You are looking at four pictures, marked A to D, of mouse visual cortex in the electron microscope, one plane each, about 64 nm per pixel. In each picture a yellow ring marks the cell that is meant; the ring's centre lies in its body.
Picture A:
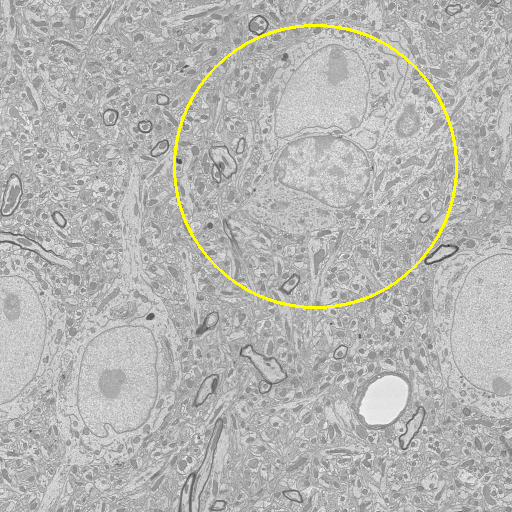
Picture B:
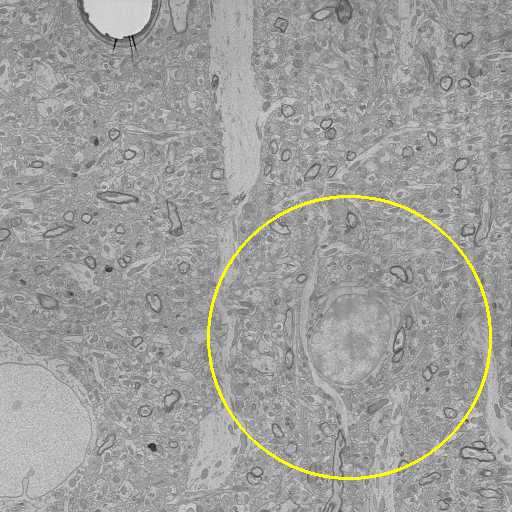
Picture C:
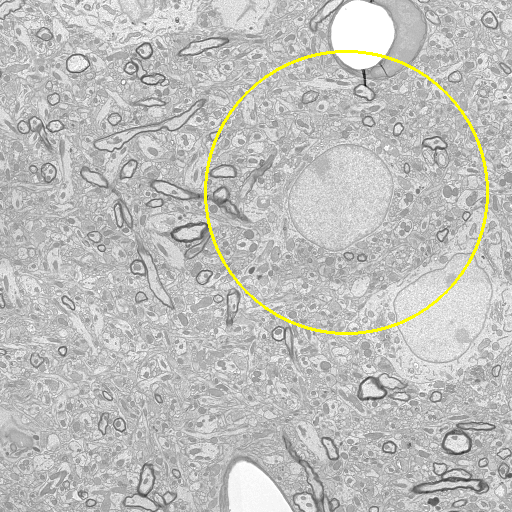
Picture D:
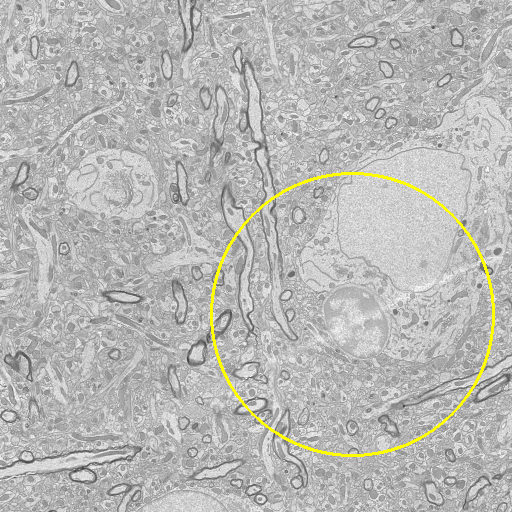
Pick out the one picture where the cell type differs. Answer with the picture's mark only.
C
